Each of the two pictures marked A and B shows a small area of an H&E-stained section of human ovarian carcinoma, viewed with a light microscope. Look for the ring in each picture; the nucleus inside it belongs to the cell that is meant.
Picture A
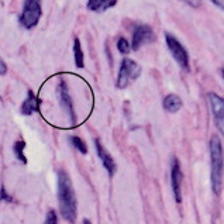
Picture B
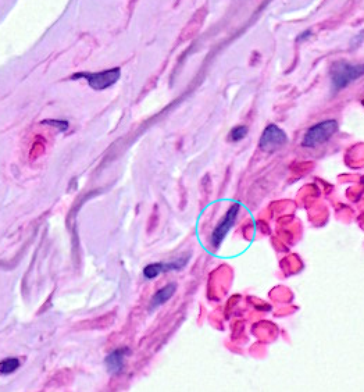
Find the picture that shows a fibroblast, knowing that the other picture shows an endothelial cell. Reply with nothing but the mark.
A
